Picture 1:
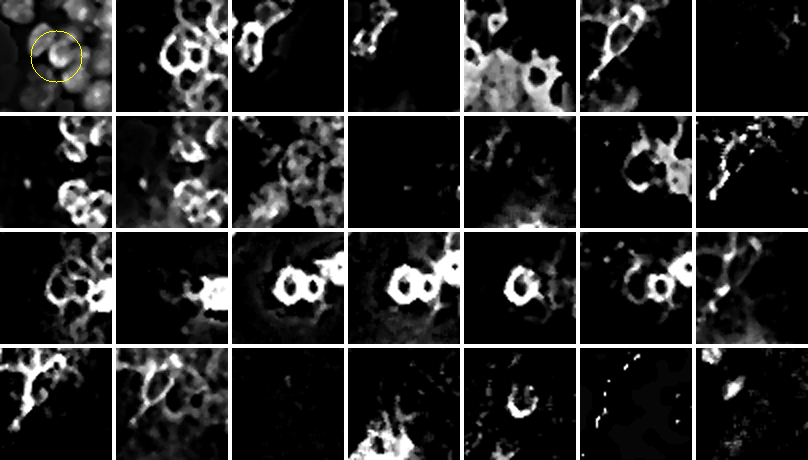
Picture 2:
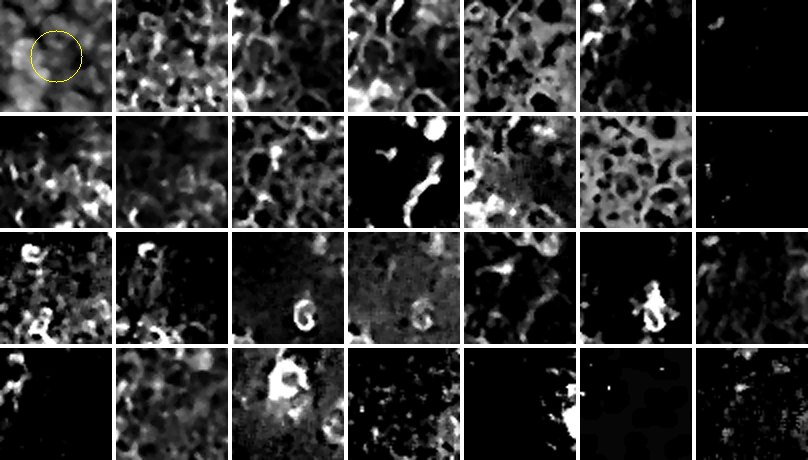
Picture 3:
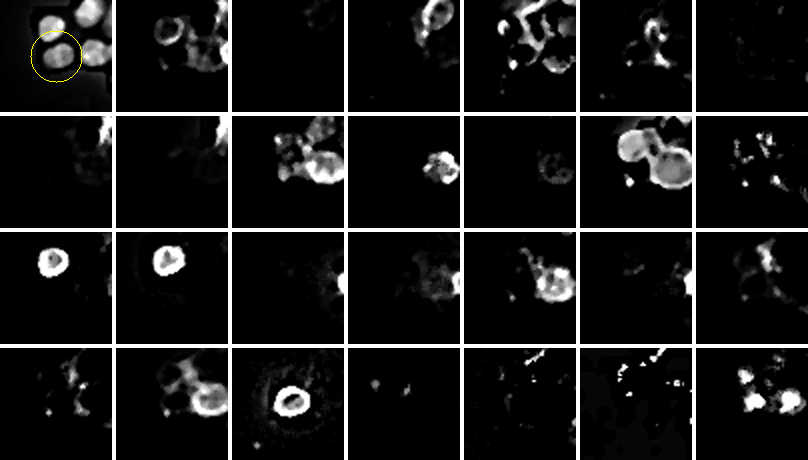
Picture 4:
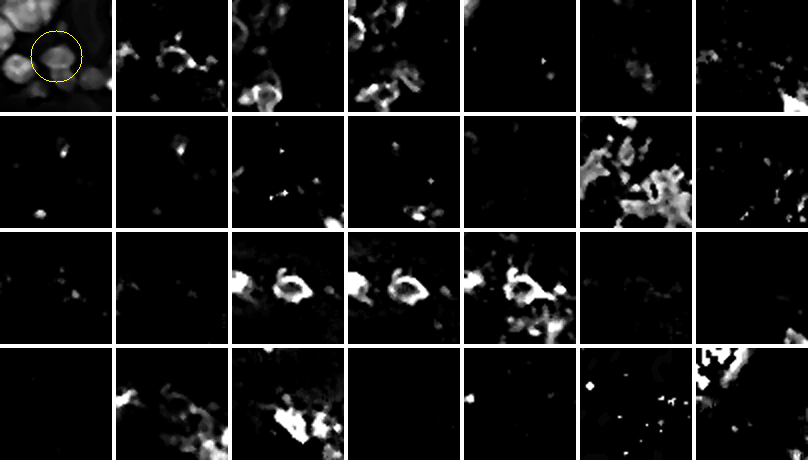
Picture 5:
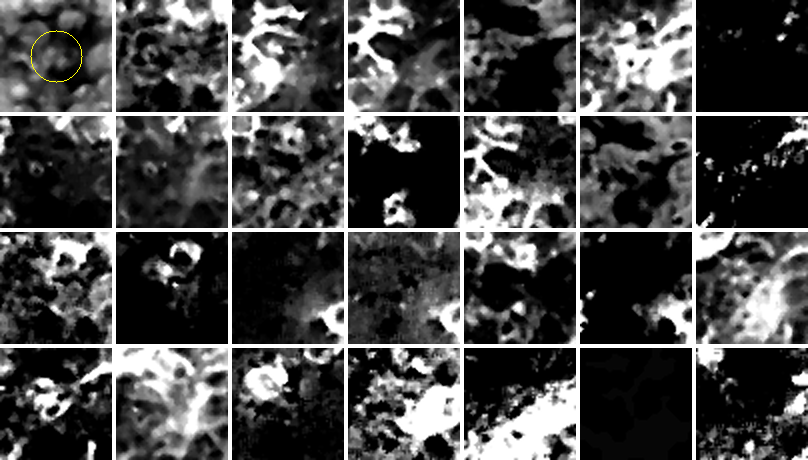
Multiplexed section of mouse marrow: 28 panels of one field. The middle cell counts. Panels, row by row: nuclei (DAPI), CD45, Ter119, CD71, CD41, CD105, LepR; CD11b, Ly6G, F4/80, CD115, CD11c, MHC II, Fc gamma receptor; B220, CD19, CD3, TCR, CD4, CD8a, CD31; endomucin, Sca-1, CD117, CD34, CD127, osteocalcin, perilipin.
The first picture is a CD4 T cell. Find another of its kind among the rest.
Picture 4.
